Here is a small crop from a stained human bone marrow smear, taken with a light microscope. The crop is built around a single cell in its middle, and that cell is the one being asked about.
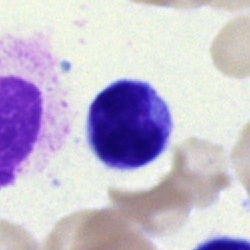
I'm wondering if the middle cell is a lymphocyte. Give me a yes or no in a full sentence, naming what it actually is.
Yes, the middle cell is classified as a lymphocyte.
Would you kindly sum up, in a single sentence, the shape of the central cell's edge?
If you check the edge, you will find it smooth without projections.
